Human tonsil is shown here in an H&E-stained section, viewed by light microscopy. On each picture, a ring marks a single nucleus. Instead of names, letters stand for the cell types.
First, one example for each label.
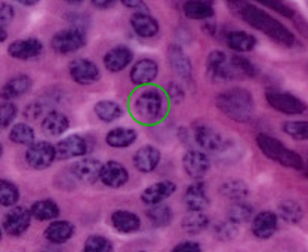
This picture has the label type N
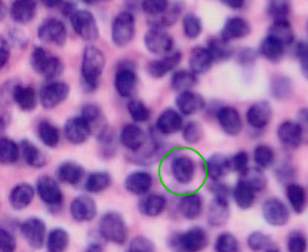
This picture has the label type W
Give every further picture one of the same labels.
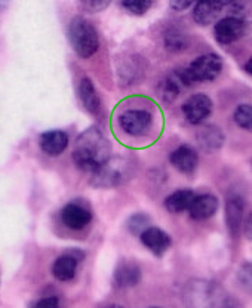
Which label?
type N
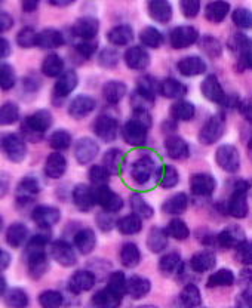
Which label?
type W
